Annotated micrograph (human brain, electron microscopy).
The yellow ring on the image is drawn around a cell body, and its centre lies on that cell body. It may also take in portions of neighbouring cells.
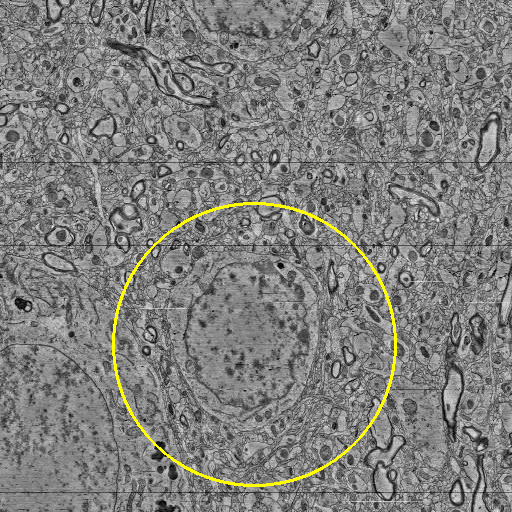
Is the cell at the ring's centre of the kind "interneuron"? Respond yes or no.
Yes, it is of the named kind.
